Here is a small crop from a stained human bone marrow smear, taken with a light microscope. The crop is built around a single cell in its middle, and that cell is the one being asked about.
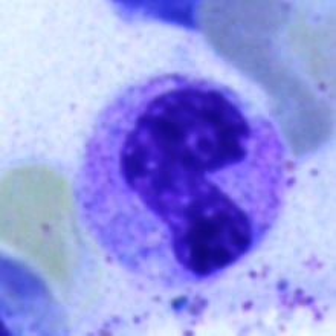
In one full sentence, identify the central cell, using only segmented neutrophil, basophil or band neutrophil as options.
The centered cell in this crop is a band neutrophil.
